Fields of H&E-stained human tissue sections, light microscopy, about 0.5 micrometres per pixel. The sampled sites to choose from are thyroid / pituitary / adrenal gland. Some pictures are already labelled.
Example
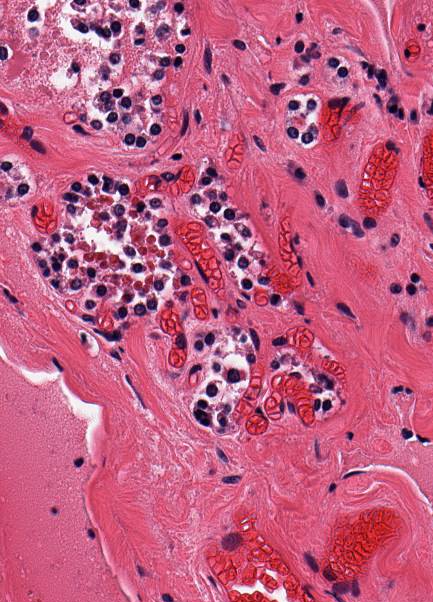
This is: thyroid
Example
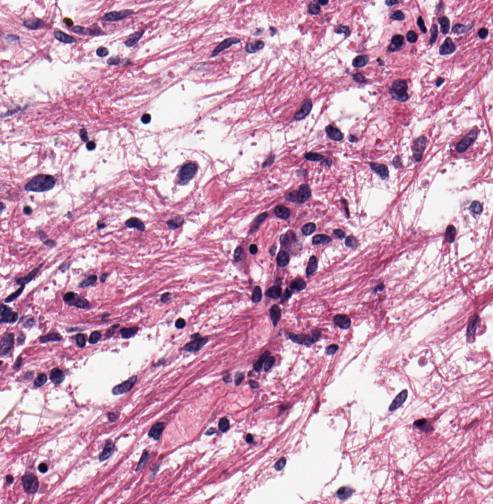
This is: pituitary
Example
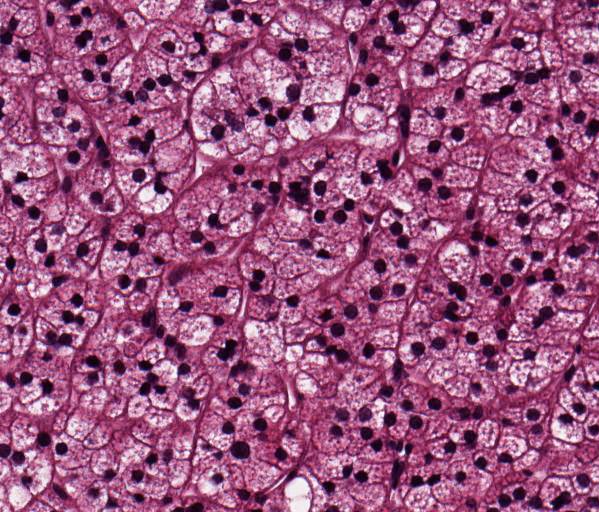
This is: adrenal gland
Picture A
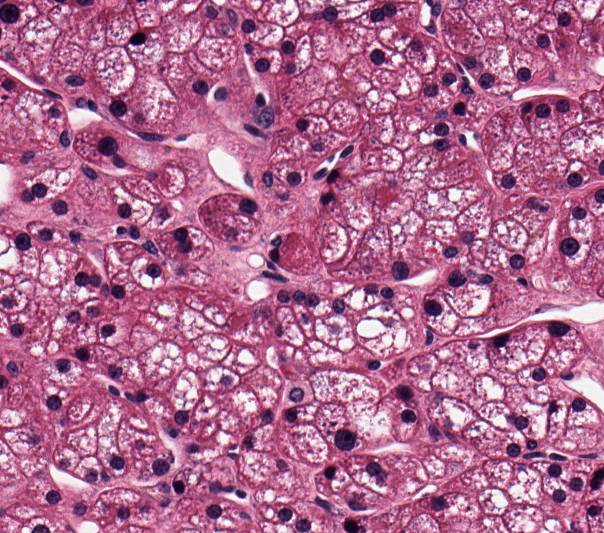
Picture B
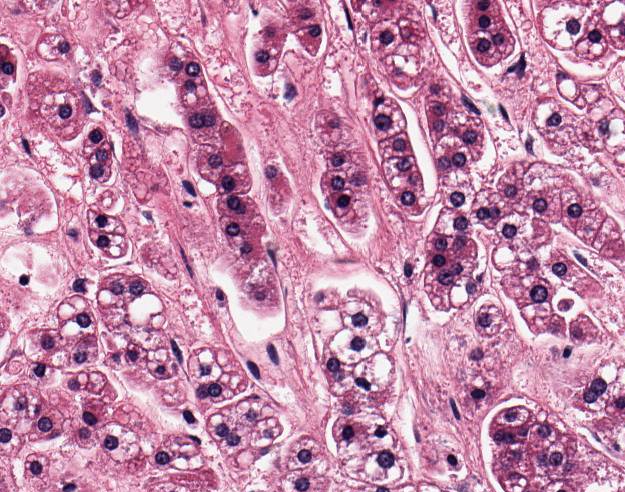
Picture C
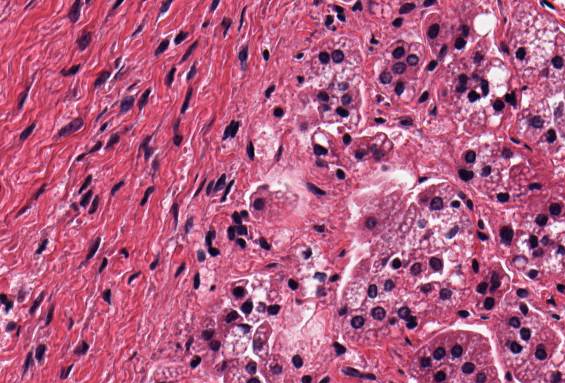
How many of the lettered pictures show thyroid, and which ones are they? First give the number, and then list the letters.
0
